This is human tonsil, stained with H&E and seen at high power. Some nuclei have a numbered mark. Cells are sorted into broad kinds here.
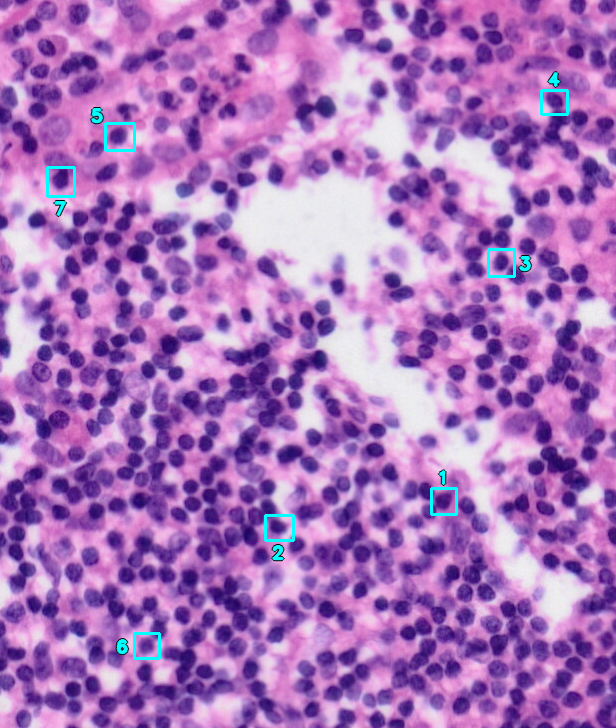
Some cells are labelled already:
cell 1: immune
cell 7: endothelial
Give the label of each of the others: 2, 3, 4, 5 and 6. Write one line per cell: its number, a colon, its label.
2: immune
3: immune
4: endothelial
5: endothelial
6: immune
